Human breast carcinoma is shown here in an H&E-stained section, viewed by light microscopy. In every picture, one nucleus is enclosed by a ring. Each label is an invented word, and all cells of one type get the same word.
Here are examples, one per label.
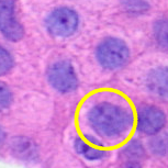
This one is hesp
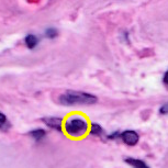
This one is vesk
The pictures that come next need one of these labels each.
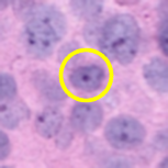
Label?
hesp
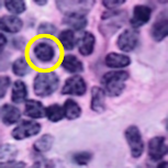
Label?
vesk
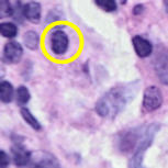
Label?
vesk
